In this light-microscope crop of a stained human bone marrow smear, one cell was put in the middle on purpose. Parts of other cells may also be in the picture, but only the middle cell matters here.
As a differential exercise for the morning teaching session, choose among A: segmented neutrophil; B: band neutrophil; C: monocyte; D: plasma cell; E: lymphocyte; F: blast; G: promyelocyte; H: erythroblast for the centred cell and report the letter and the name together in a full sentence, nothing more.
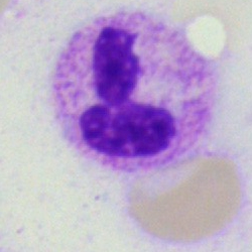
Of the options given, A is correct, the central cell being a segmented neutrophil.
